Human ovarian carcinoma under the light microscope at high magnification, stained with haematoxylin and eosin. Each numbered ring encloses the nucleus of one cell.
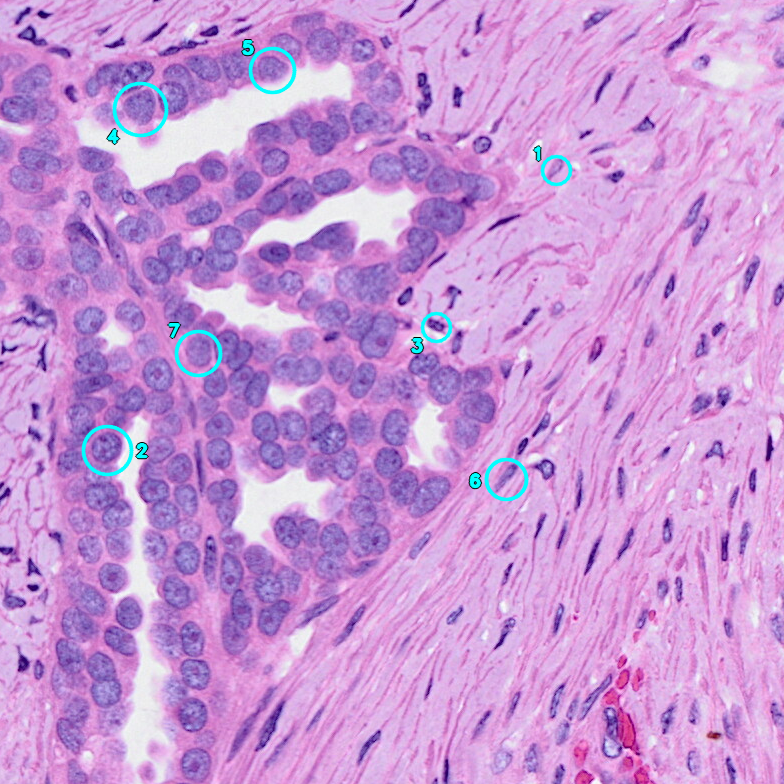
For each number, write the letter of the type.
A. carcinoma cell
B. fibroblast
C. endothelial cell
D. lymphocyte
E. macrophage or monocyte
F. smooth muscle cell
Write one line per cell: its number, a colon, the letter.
1: B
2: A
3: B
4: A
5: A
6: B
7: A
